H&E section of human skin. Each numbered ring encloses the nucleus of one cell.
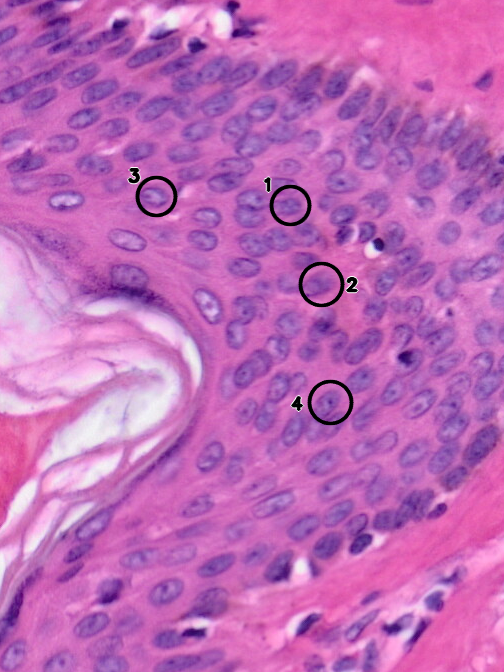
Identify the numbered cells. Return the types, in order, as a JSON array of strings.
["suprabasal keratinocyte", "basal keratinocyte", "suprabasal keratinocyte", "suprabasal keratinocyte"]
